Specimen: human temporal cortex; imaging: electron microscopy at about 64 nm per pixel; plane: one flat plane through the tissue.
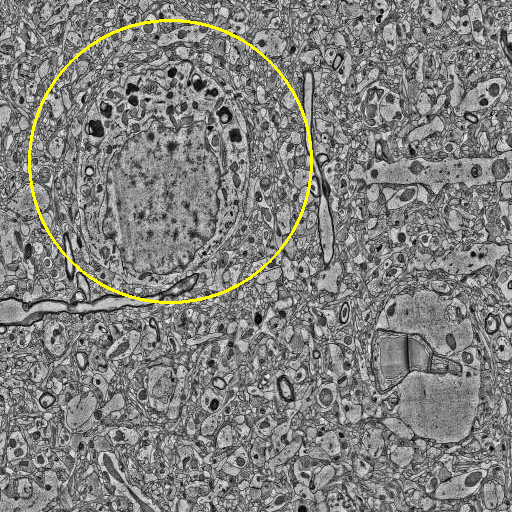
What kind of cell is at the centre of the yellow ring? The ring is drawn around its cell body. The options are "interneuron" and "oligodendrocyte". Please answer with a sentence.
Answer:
The yellow ring marks the cell body of an interneuron.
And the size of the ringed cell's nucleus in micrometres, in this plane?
The nucleus measures about 10 by 8 micrometres in this plane.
